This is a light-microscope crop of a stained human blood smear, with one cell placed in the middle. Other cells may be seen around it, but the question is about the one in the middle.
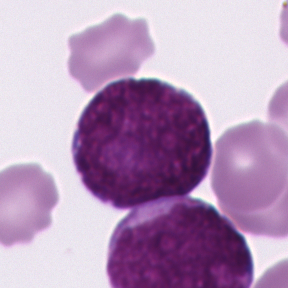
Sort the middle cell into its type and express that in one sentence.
The centrally positioned cell in the crop represents a myeloblast.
